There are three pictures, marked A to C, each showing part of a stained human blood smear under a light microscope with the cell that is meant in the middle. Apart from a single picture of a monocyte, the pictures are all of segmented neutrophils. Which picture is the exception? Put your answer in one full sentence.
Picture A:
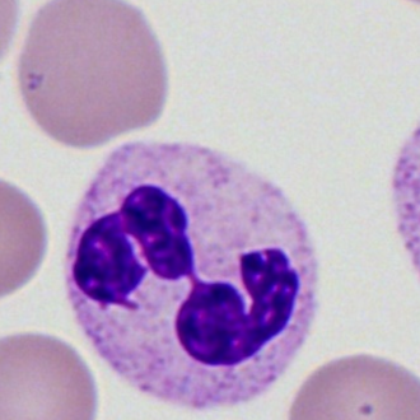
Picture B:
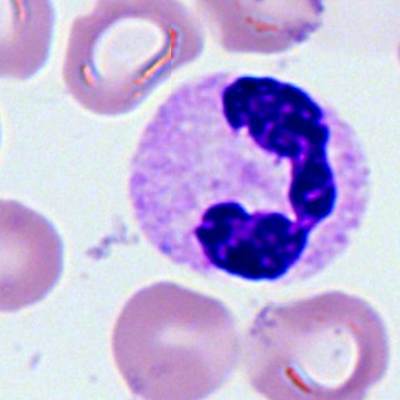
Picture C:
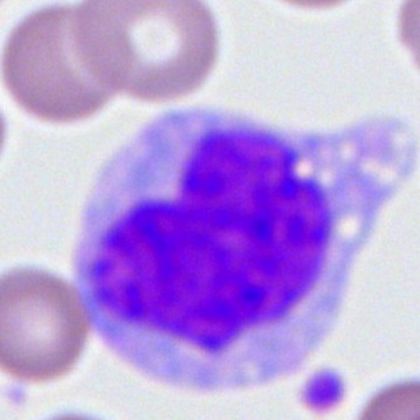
It is picture C that shows the monocyte.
